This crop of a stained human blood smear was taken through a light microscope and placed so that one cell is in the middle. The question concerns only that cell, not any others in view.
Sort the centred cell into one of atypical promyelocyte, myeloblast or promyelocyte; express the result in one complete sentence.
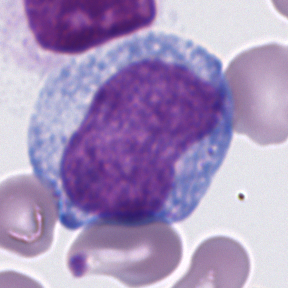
The centrally positioned cell in the crop represents a promyelocyte.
